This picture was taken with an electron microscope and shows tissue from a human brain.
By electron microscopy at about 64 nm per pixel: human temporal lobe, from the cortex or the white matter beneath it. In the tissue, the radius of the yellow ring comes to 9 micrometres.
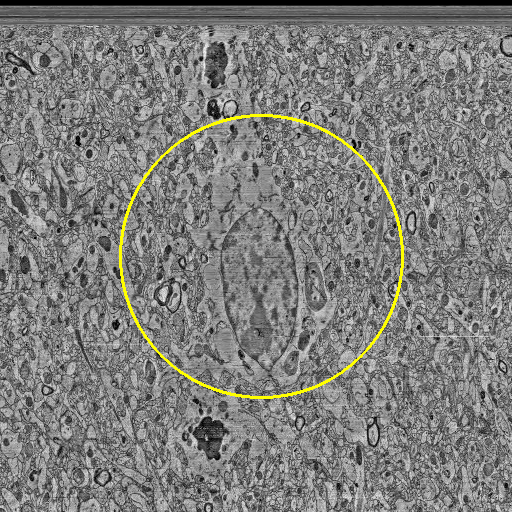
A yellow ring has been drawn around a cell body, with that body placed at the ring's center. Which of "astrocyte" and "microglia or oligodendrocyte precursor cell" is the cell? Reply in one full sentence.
In this picture, an astrocyte is the cell at the center of the yellow ring.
